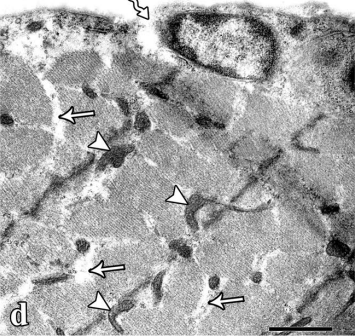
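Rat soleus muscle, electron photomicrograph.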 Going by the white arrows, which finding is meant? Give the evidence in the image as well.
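Pale, empty-looking patches between myofibrils. Myofilaments are frayed around them.
Areas of degeneration.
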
